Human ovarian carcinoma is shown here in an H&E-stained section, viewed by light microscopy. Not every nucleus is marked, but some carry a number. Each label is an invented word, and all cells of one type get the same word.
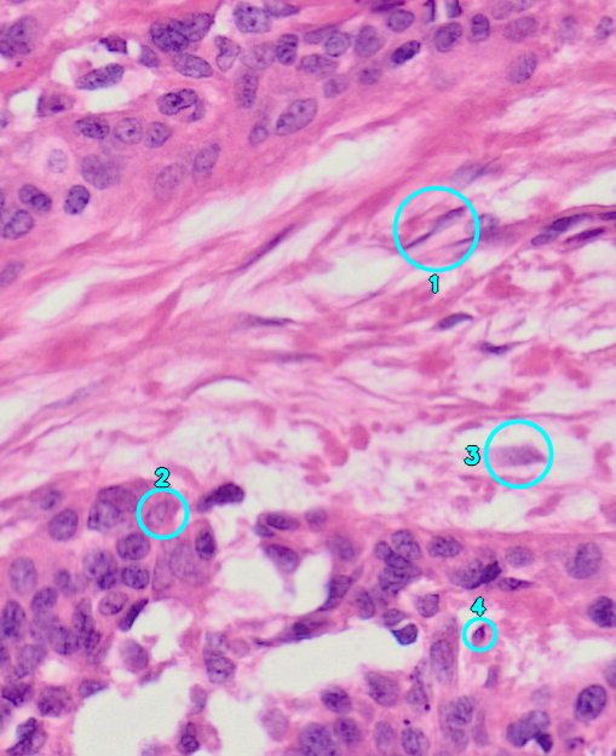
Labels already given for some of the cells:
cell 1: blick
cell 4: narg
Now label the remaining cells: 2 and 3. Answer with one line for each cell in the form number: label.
2: narg
3: blick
